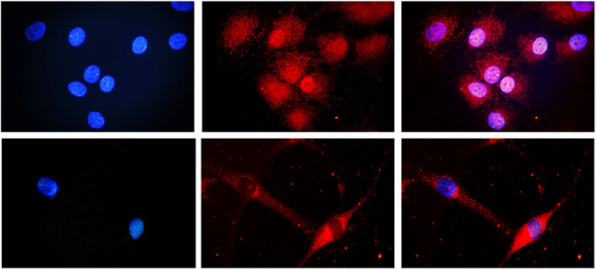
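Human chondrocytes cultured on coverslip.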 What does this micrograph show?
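In the top row a group of cells sits close together, each with an oval nucleus, and the red stain is brightest over the nuclei, which appear pink-purple in the merge, while a paler granular red fills the surrounding cytoplasm. In the bottom row only a few cells are present; they are elongated and spindle-shaped with long tapering extensions. There the red lies mainly in the cytoplasm and the nuclei remain mostly blue in the merge. Scattered small red dots are seen in the background of both rows.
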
